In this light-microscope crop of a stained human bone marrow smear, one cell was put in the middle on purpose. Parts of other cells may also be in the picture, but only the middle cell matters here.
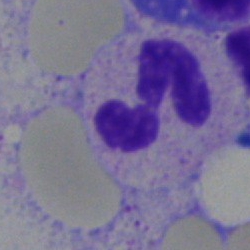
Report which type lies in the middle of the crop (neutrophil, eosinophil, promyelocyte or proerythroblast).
neutrophil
